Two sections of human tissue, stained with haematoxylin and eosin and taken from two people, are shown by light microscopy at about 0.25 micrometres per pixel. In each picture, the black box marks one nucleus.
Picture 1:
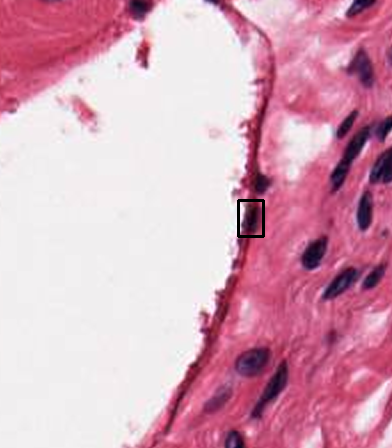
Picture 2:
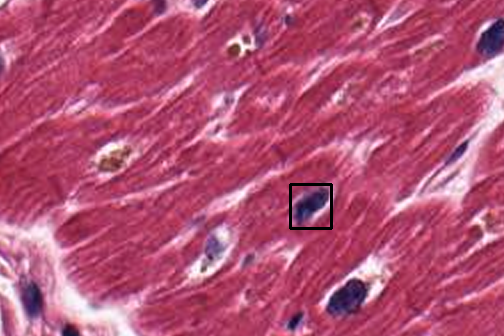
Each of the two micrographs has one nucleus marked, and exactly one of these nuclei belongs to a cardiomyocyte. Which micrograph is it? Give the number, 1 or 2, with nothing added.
2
